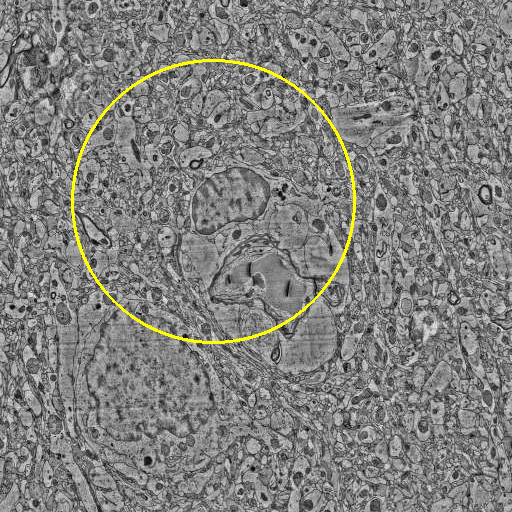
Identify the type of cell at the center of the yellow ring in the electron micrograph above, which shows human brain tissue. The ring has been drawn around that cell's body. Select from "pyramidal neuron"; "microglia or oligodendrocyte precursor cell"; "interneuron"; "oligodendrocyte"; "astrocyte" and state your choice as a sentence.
The yellow ring is centered on the body of a microglial cell or oligodendrocyte precursor cell.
